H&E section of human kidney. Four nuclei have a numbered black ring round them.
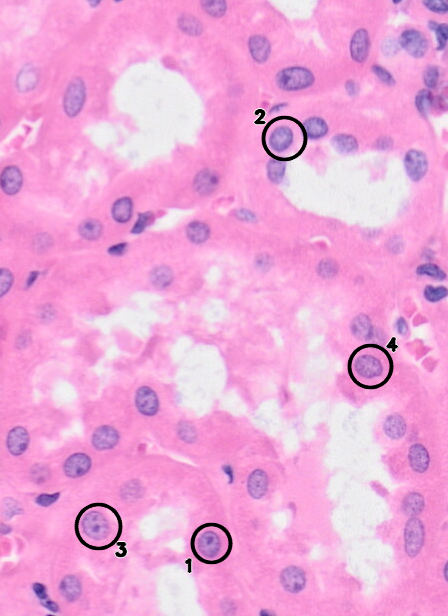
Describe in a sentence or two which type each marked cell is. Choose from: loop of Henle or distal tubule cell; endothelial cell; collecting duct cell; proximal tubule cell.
Cells 1, 3 and 4 are proximal tubule cells. Cell 2 is a loop of Henle or distal tubule cell.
